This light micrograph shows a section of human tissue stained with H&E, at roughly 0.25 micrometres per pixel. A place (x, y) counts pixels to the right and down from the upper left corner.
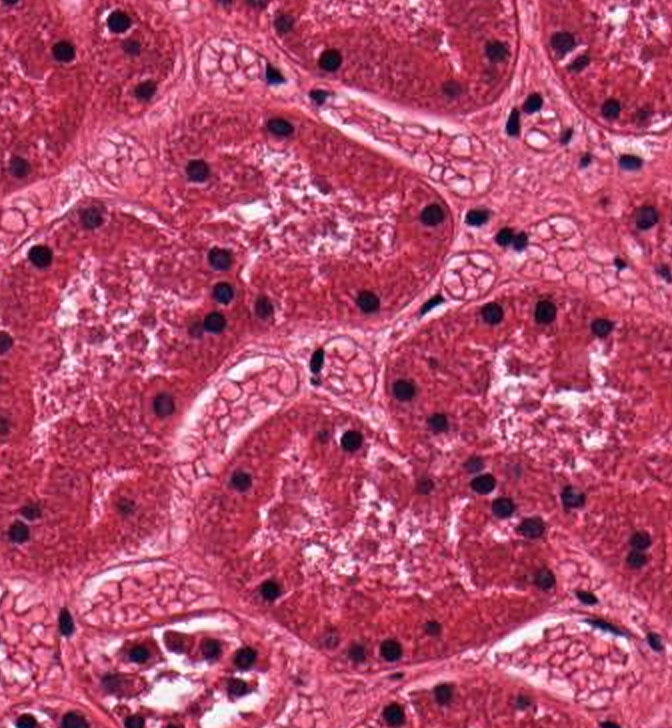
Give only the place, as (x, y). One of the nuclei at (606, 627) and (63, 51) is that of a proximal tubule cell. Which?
(63, 51)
